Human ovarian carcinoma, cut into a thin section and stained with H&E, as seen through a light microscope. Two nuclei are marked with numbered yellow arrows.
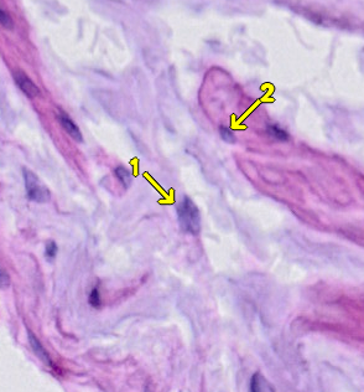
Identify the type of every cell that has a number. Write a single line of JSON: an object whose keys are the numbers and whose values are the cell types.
{"1": "fibroblast", "2": "smooth muscle cell"}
